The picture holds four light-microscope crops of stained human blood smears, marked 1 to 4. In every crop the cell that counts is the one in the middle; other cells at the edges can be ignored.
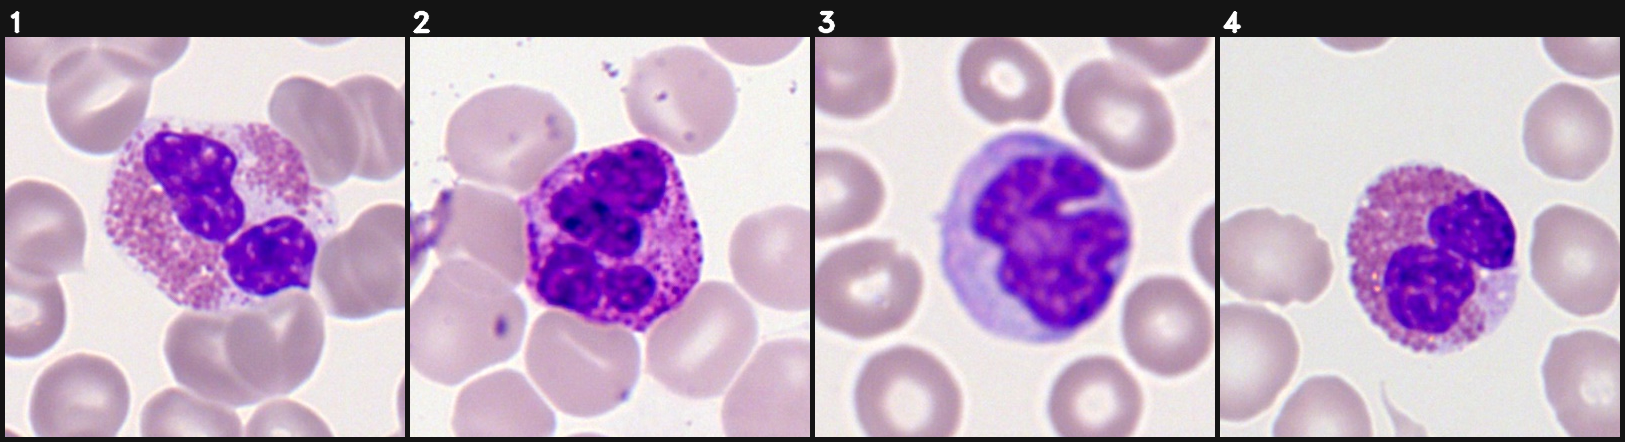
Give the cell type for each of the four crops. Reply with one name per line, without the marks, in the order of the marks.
eosinophil
basophil
monocyte
eosinophil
